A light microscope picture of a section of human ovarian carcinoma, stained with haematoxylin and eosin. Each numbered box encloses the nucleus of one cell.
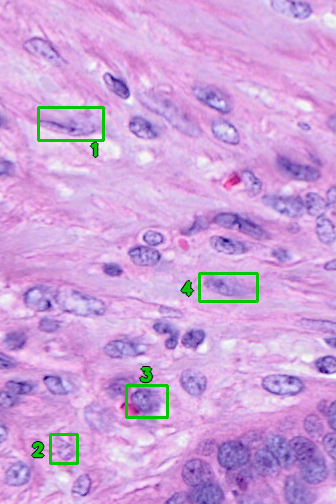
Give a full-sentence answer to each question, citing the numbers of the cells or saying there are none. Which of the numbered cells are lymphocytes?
Of the numbered cells, none can be classed as lymphocytes.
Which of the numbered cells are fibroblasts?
The cells that have numbers 1, 2 and 4 are fibroblasts.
